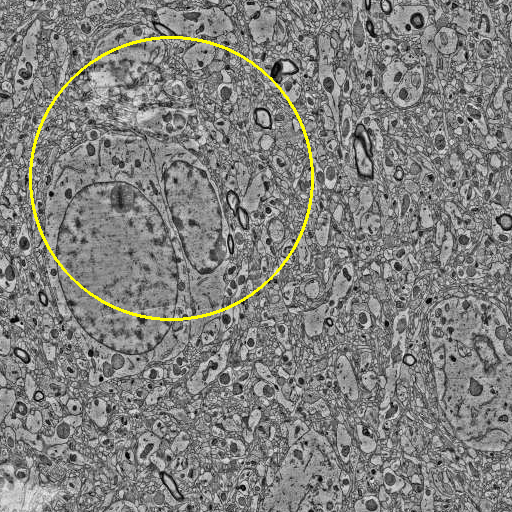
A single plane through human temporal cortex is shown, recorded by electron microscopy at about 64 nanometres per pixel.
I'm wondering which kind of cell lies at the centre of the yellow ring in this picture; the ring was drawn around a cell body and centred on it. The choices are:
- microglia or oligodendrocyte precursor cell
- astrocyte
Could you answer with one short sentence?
At the centre of the ring lies a microglial cell or oligodendrocyte precursor cell.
